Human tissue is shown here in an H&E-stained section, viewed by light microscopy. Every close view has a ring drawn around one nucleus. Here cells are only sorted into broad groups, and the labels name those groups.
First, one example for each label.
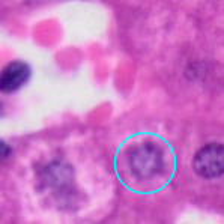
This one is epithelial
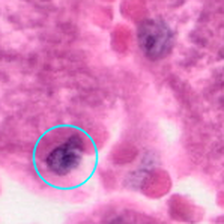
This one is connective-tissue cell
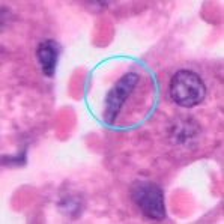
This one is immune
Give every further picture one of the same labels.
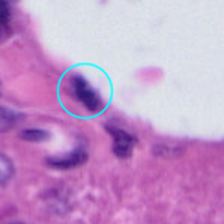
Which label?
connective-tissue cell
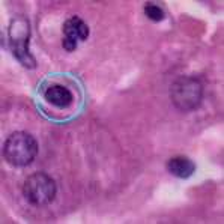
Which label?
immune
